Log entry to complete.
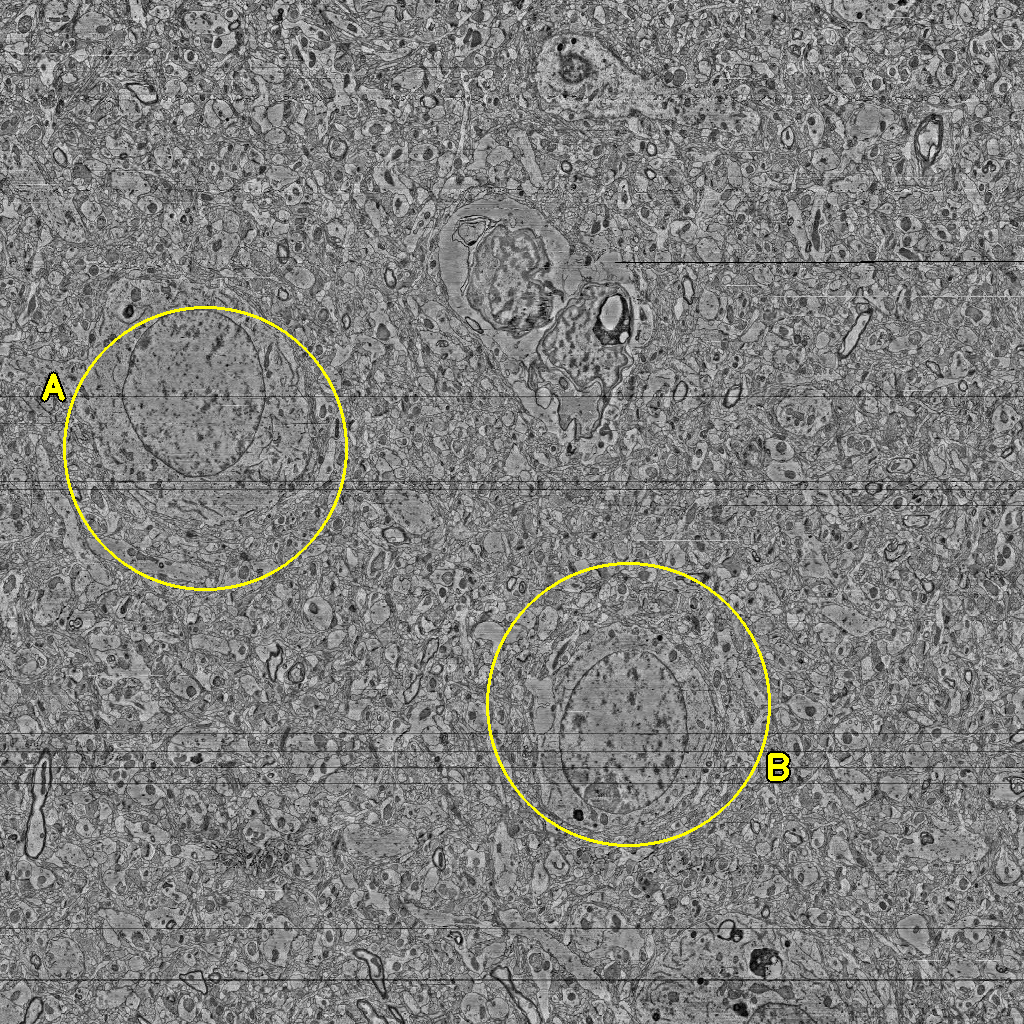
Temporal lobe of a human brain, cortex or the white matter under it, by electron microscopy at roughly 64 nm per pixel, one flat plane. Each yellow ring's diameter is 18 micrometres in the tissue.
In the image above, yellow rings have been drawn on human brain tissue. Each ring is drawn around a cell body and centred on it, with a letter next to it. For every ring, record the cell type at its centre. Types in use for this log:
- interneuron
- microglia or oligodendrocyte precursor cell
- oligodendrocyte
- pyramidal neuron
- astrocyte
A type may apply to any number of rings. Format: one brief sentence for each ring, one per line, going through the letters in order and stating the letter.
In ring A, the centred cell is a pyramidal neuron.
In ring B, the centred cell is a pyramidal neuron.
